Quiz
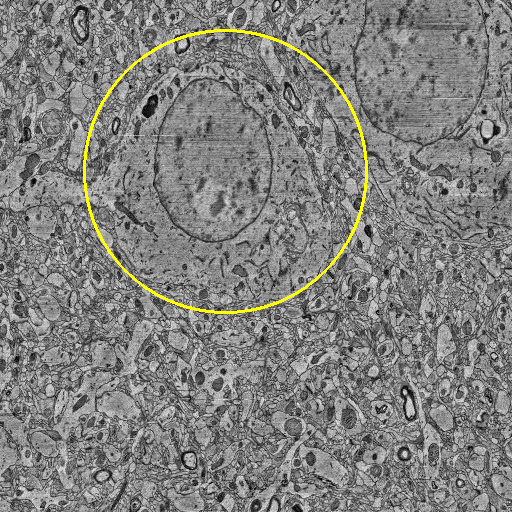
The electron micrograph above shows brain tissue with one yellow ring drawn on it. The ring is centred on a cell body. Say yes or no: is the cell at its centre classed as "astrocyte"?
no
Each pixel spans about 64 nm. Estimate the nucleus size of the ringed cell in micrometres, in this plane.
In this plane, about 11 micrometres in length and 8 in width.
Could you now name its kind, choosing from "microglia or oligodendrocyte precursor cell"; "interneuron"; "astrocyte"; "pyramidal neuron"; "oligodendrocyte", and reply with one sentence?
As it turns out, the cell at the ring centre is a pyramidal neuron.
